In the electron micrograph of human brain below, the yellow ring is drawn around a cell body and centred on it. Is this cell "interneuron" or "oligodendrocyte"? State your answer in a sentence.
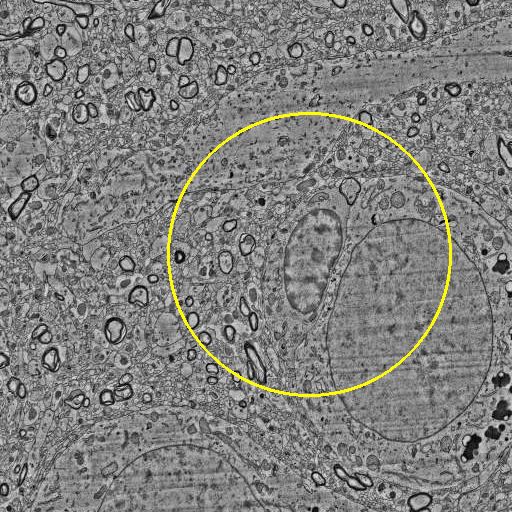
The cell in the middle of the ring is an oligodendrocyte.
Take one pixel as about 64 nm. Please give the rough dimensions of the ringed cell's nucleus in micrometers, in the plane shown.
Approximately 7 by 4 micrometers in this plane.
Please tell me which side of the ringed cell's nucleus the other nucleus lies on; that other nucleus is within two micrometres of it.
The other nucleus is located to the right of it.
